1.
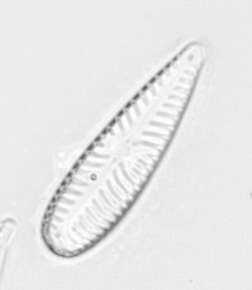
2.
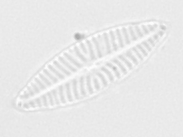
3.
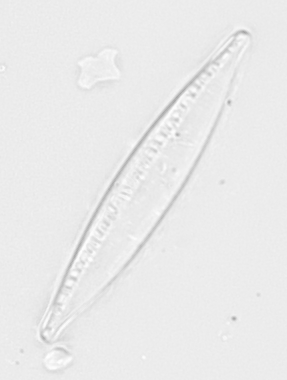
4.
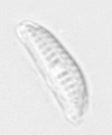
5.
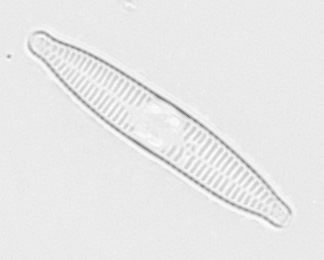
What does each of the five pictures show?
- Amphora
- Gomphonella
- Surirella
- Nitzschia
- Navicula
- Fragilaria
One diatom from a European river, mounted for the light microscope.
1. Gomphonella
2. Navicula
3. Nitzschia
4. Amphora
5. Fragilaria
